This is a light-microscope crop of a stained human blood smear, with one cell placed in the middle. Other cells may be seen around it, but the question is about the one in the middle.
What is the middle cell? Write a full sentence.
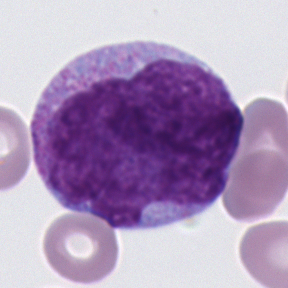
In the middle of this smear crop is an atypical promyelocyte.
